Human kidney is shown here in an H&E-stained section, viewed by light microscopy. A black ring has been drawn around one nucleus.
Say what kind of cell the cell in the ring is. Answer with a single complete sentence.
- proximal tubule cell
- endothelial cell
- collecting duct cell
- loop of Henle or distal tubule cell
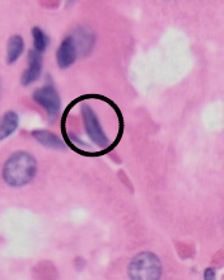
In this section of tissue, the cell in the ring is an endothelial cell.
